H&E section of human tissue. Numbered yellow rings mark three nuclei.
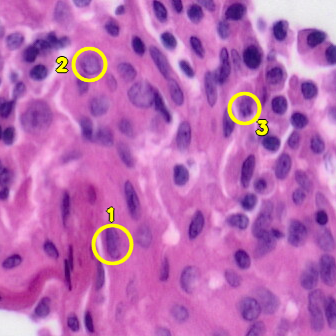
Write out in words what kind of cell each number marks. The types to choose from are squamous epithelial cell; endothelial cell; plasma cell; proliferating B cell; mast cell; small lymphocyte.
Cell 1 is a squamous epithelial cell, cell 2 is a squamous epithelial cell and cell 3 is a plasma cell.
